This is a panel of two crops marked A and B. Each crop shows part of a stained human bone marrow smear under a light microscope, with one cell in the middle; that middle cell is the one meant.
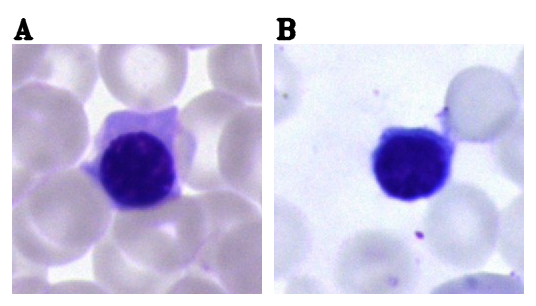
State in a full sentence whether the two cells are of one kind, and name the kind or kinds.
No, crop A shows an erythroblast and crop B a lymphocyte.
